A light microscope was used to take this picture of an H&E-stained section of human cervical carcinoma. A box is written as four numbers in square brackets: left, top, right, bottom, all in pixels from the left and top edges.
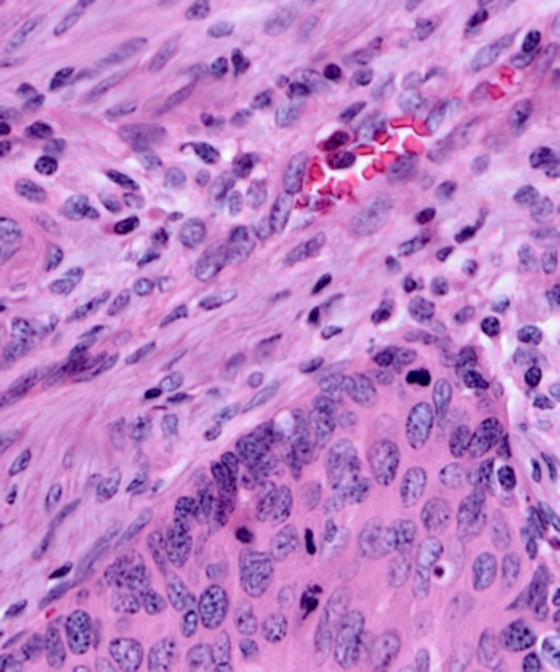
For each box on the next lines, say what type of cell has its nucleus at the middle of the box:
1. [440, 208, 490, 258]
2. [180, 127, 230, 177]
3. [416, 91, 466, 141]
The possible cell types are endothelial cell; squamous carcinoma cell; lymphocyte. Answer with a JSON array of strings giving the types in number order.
["lymphocyte", "lymphocyte", "endothelial cell"]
